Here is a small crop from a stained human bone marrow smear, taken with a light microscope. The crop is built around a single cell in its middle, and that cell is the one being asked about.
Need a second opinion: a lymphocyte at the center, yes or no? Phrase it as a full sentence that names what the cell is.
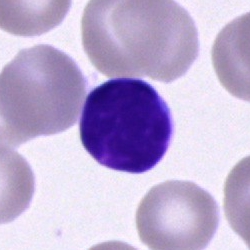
Yes, the cell lying in the middle is a lymphocyte.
